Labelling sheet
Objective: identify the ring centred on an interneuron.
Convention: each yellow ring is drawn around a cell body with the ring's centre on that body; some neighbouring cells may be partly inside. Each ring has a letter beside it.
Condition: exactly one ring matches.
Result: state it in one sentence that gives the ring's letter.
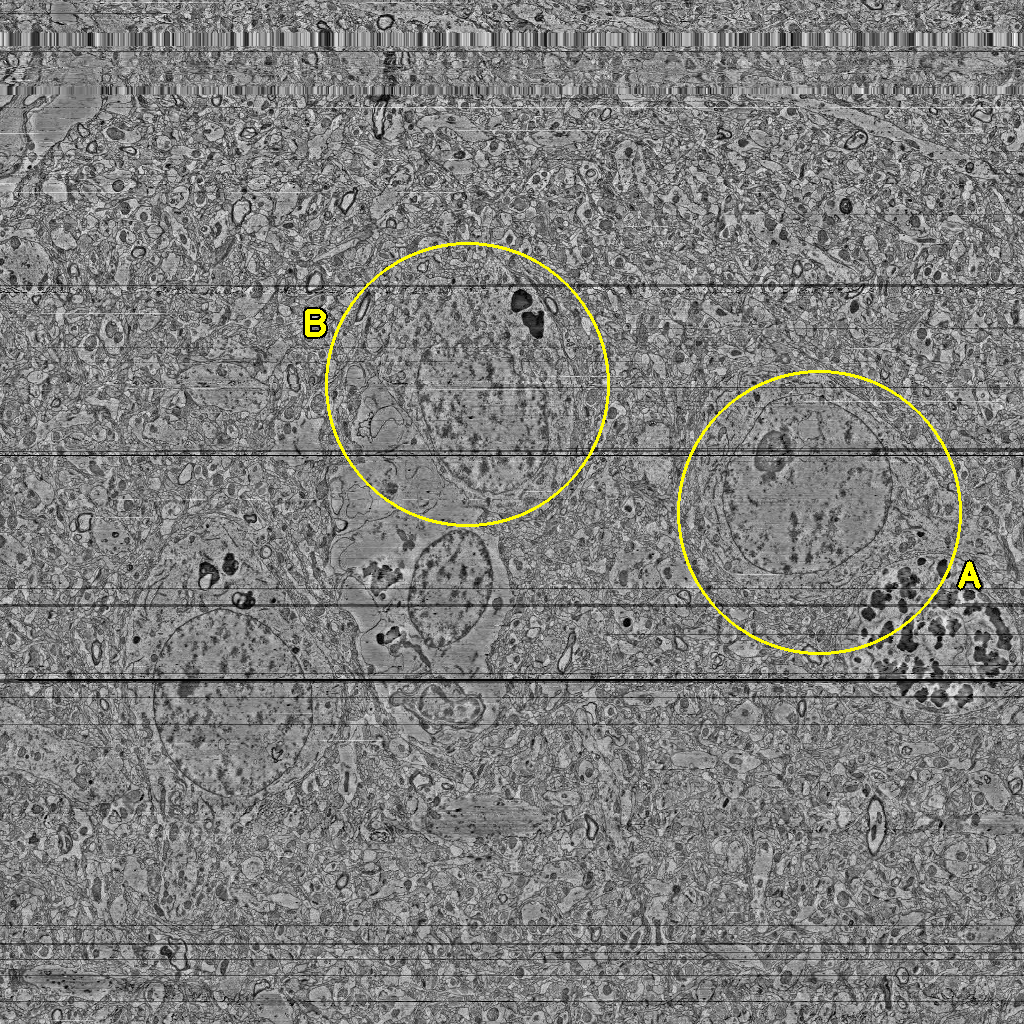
It lies at the centre of ring B.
